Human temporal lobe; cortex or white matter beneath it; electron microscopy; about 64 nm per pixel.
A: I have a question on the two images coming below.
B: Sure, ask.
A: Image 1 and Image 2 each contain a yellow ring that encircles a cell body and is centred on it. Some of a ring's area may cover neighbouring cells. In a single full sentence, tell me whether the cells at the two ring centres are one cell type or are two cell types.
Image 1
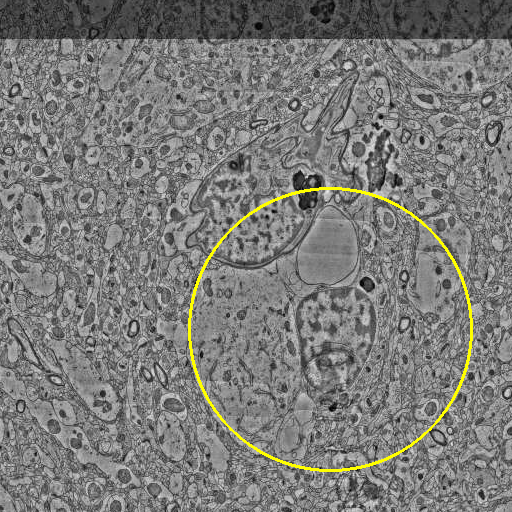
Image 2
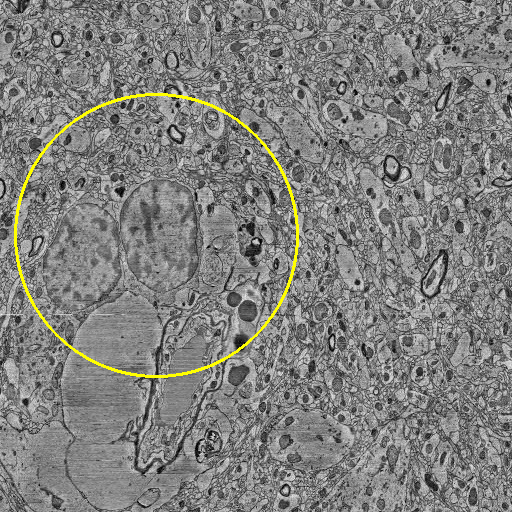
As for the ring-centre cells, the one in Image 1 and the one in Image 2 are two cell types.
